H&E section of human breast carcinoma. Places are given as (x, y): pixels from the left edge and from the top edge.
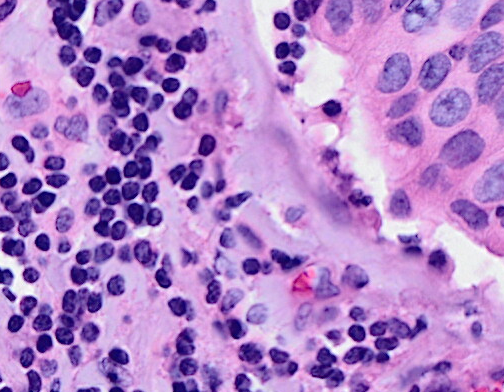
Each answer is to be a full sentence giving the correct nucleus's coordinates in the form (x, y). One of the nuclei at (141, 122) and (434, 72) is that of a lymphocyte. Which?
That would be the nucleus at (141, 122); it belongs to a lymphocyte.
